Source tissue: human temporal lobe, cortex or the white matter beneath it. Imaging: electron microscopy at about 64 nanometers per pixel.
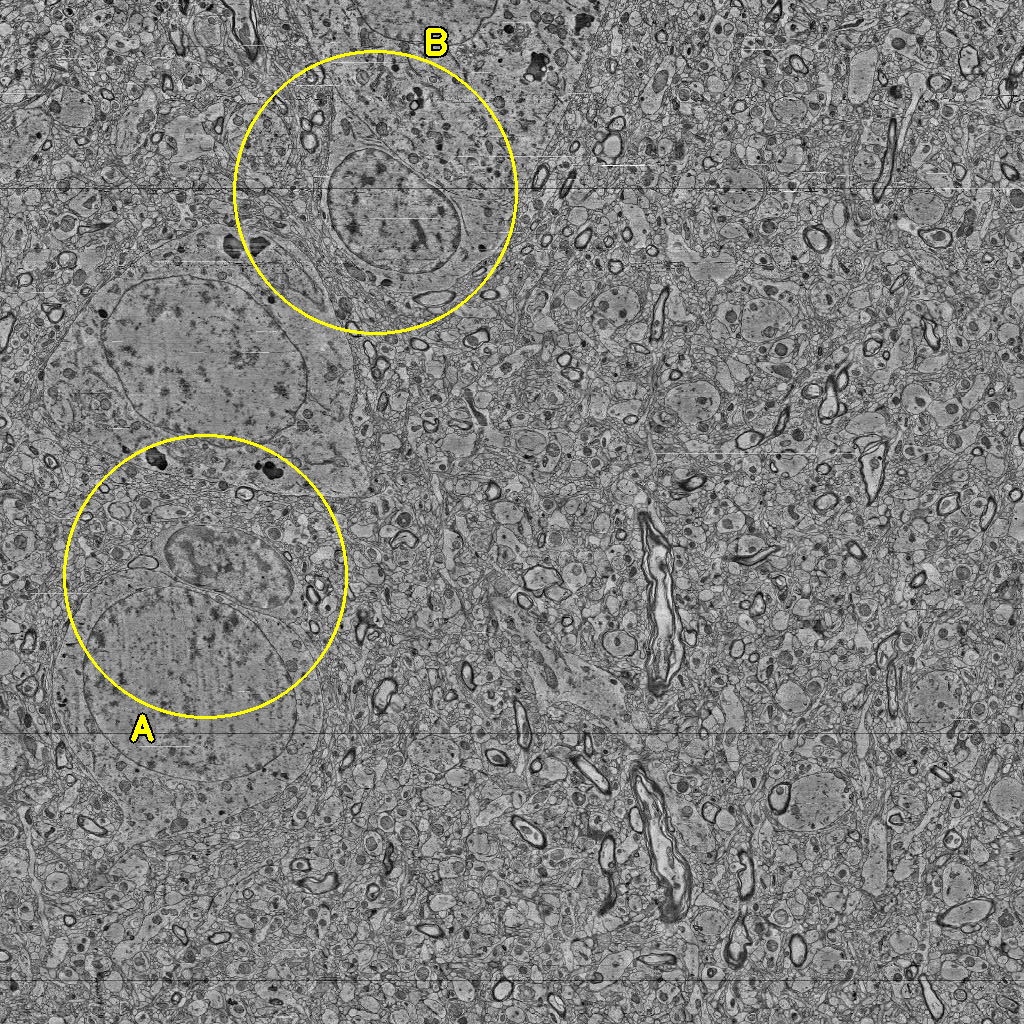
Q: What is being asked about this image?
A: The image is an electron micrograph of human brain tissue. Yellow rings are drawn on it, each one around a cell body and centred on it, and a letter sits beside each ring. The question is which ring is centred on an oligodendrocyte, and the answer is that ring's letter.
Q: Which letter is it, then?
A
